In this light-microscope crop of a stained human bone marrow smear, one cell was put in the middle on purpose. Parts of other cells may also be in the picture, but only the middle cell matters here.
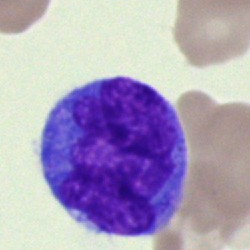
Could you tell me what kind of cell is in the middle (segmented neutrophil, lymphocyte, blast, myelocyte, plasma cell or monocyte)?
monocyte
